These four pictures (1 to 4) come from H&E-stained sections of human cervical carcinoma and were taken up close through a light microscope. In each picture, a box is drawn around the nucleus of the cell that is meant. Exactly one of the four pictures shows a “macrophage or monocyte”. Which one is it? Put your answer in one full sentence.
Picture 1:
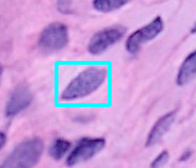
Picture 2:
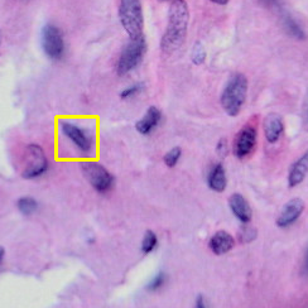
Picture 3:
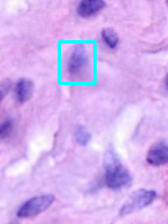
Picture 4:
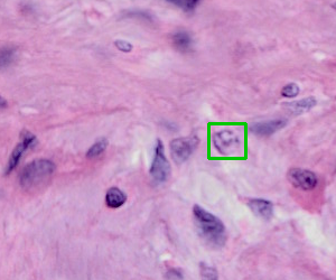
The picture with the “macrophage or monocyte” is 4.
